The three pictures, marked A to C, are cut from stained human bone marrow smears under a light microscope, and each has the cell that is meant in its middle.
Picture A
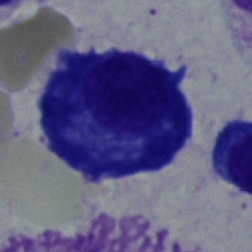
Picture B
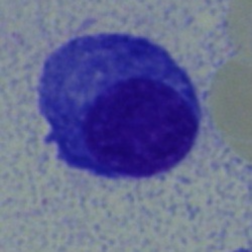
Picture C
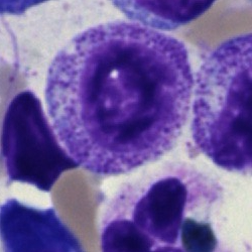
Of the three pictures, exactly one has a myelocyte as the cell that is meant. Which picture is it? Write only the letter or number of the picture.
C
